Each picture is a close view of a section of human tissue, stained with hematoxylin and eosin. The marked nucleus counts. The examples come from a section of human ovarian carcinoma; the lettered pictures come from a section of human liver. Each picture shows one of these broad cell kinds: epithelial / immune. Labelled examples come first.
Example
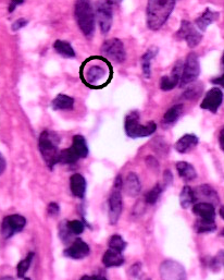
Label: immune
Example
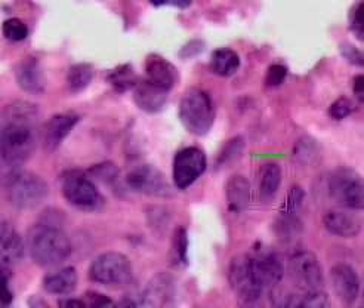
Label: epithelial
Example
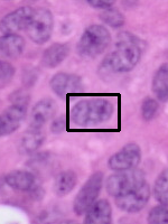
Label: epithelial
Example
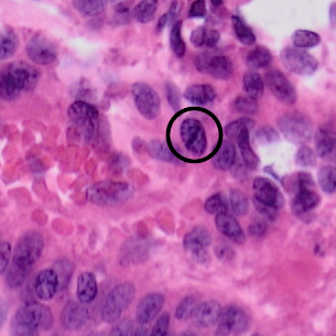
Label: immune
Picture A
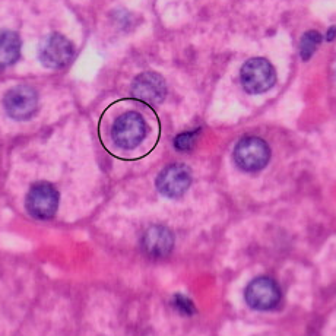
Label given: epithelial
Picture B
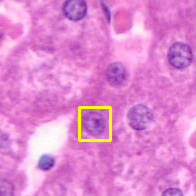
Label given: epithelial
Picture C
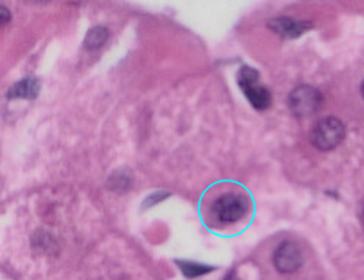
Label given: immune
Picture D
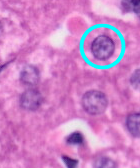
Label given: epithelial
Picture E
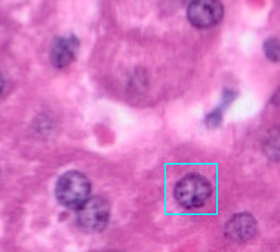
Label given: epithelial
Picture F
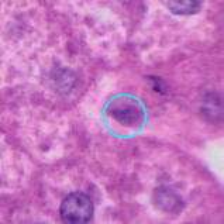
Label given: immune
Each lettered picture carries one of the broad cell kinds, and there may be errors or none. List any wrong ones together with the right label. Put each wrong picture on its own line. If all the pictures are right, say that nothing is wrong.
Every label is right.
